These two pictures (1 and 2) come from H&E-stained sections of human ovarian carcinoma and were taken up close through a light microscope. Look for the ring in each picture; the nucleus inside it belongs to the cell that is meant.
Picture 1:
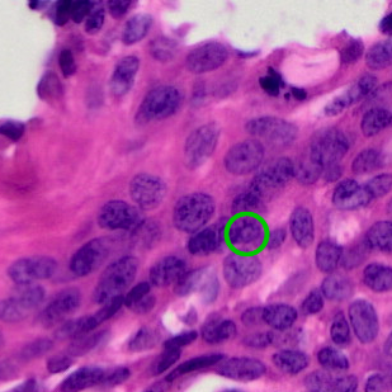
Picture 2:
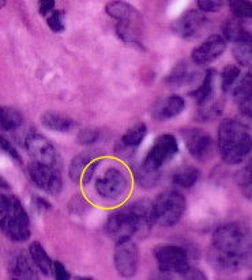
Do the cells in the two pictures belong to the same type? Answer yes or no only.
no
